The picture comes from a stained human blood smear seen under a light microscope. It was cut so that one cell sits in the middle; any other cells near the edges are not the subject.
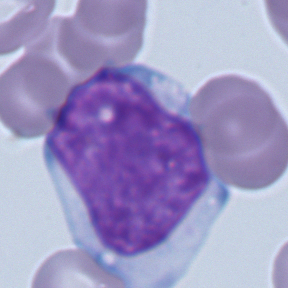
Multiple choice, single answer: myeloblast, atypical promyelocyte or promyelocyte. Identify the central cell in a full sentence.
Located at the centre of the crop is a myeloblast.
